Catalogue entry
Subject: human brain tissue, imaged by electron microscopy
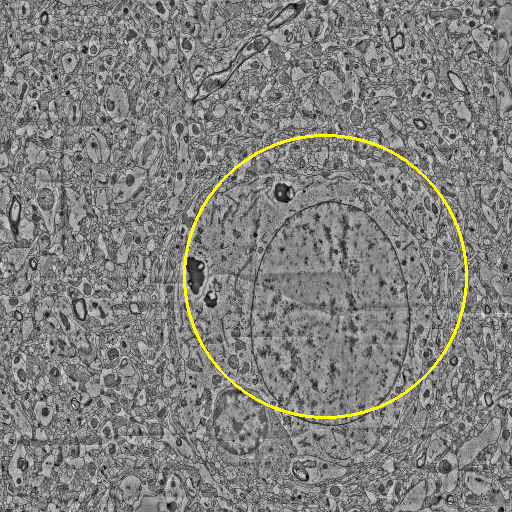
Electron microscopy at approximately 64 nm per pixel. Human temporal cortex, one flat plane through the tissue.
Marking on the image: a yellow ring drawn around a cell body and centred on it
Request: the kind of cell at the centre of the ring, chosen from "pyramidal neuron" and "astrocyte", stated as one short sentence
The ring has a pyramidal neuron at its centre.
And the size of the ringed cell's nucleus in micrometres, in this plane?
About 14 by 10 micrometres in this plane.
